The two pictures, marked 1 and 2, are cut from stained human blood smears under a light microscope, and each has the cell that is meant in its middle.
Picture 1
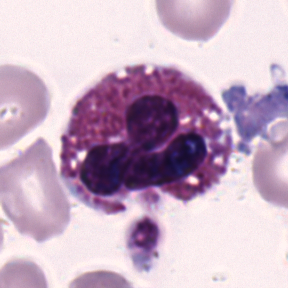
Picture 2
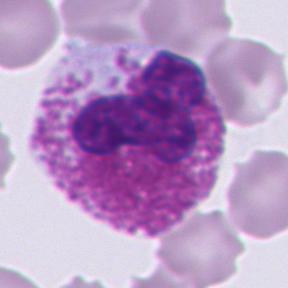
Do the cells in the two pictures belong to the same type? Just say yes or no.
yes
